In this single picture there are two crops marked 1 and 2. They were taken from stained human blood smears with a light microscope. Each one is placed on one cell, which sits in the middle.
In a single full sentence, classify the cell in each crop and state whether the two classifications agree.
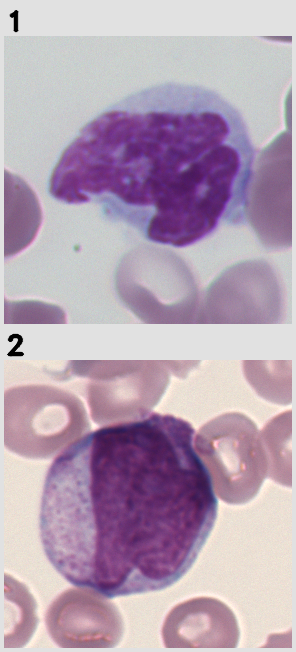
No, crop 1 matches a monocyte and crop 2 matches an atypical promyelocyte.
